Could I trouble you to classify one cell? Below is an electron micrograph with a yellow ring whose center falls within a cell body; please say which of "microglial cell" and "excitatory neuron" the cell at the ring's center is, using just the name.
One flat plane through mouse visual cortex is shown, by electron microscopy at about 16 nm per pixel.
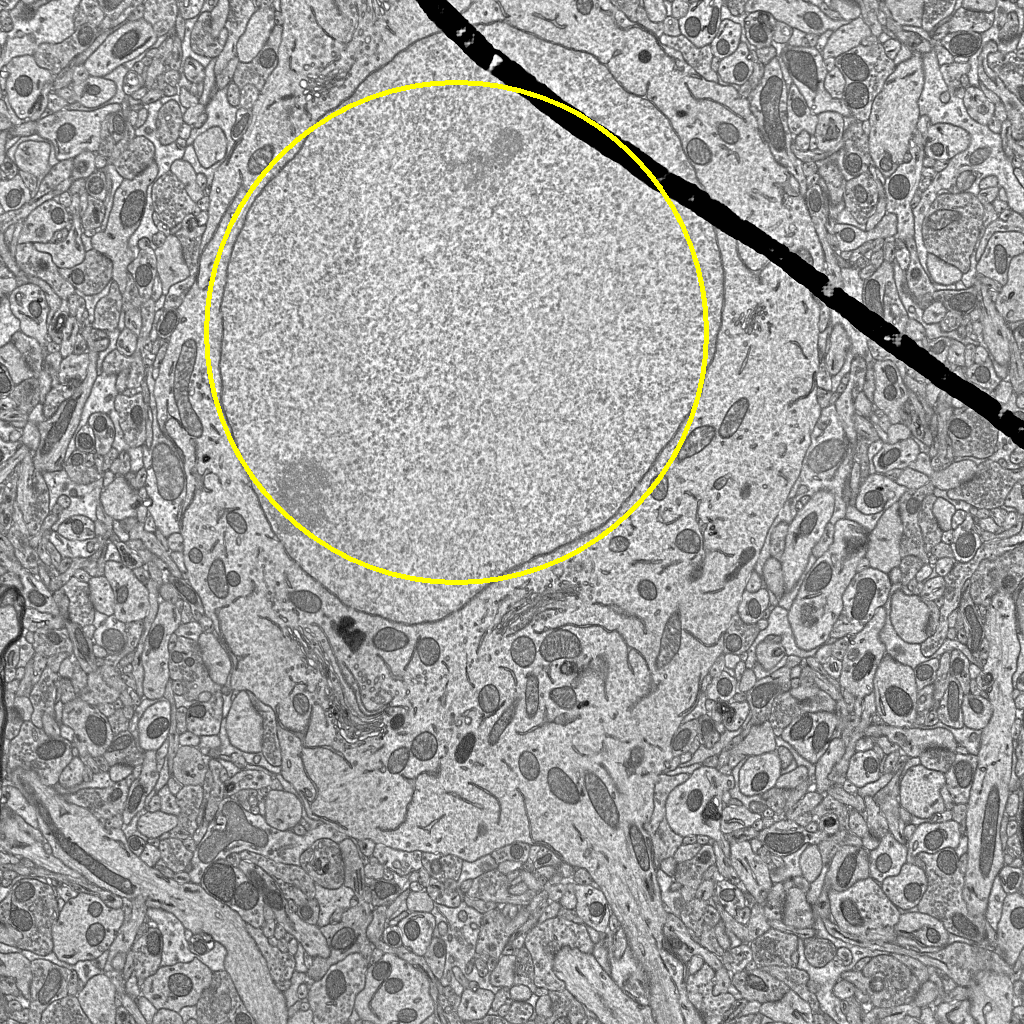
excitatory neuron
